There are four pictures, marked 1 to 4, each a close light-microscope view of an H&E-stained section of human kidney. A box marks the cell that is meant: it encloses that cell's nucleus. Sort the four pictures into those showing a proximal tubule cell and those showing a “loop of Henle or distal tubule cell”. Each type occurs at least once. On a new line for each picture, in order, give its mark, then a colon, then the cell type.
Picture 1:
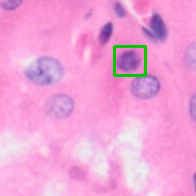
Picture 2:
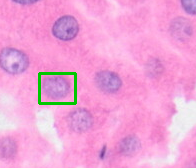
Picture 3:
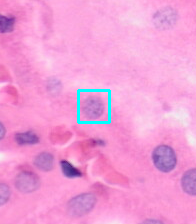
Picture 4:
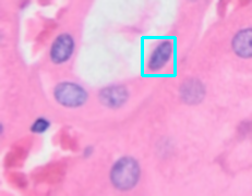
1: proximal tubule cell
2: proximal tubule cell
3: proximal tubule cell
4: loop of Henle or distal tubule cell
